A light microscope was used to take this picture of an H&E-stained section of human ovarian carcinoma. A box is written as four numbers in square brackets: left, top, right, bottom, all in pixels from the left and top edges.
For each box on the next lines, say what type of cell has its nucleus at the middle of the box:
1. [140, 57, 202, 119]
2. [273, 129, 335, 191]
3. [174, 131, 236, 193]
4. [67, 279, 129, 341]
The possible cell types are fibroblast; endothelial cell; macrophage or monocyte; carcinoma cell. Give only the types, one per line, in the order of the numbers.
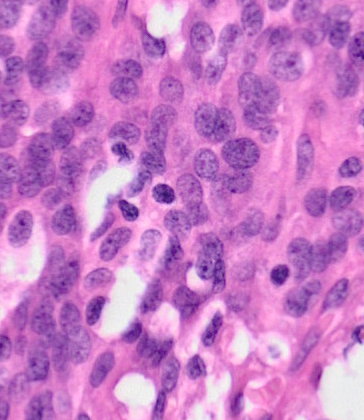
carcinoma cell
endothelial cell
carcinoma cell
macrophage or monocyte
